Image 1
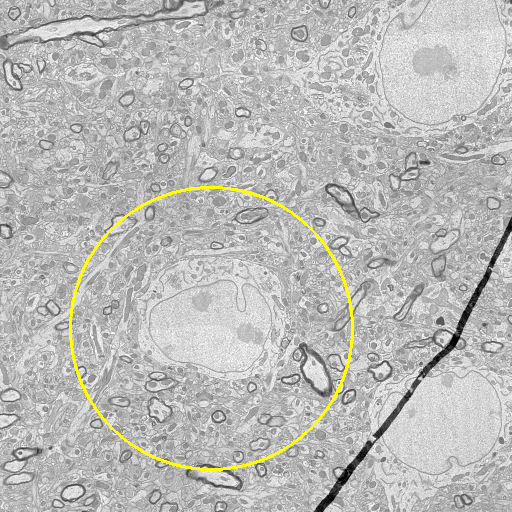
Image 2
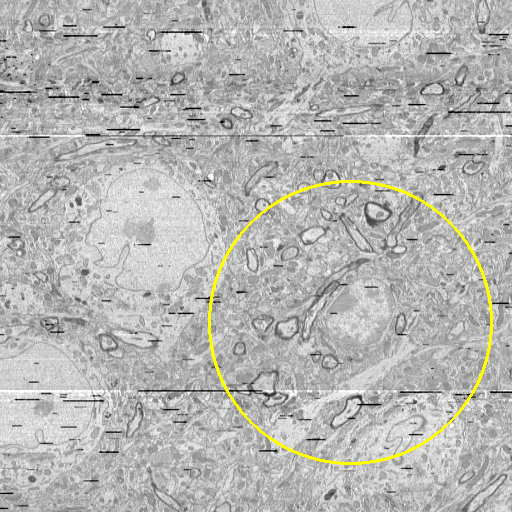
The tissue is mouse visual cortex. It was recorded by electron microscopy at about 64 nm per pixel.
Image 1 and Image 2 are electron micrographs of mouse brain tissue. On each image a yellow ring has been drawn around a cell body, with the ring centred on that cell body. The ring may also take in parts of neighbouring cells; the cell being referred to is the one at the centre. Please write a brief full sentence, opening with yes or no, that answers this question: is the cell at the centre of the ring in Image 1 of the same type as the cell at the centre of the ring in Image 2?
No, the two cells are of two types.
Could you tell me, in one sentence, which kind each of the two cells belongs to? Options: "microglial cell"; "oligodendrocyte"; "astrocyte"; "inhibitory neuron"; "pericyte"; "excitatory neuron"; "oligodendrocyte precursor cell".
At the centre of the first ring sits an excitatory neuron, and at the centre of the second sits an oligodendrocyte.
